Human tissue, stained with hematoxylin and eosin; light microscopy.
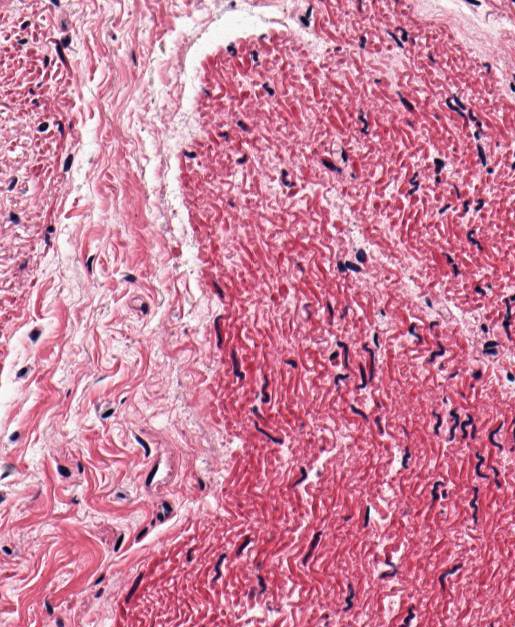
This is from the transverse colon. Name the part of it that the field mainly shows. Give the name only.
smooth muscle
